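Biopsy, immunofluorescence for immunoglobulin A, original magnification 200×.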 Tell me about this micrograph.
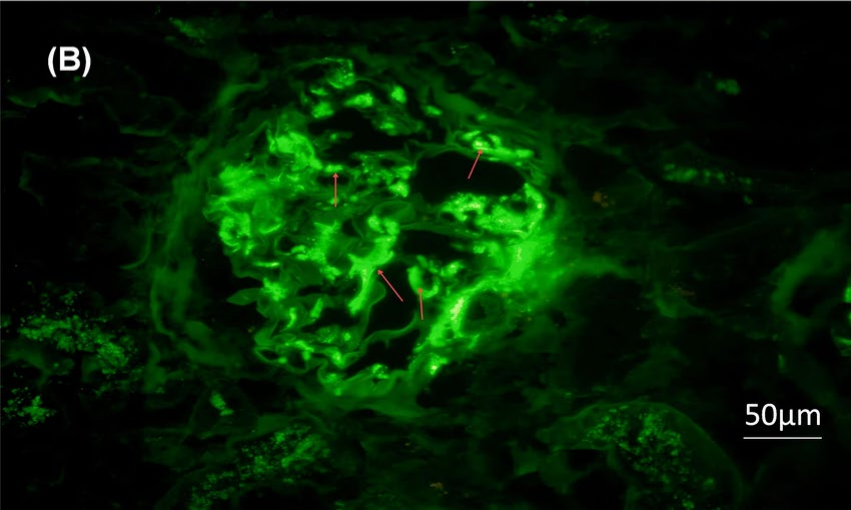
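A single glomerulus glows bright green against the dark surrounding tissue, the deposits lying as coarse clumps along the branching mesangial area of the tuft. The surrounding tubules show only faint, granular background green.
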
